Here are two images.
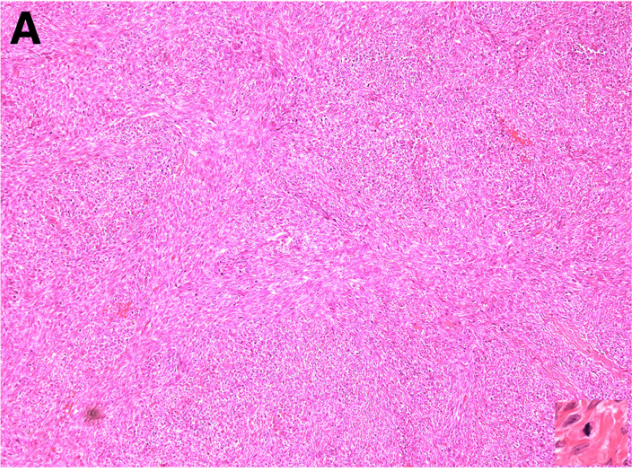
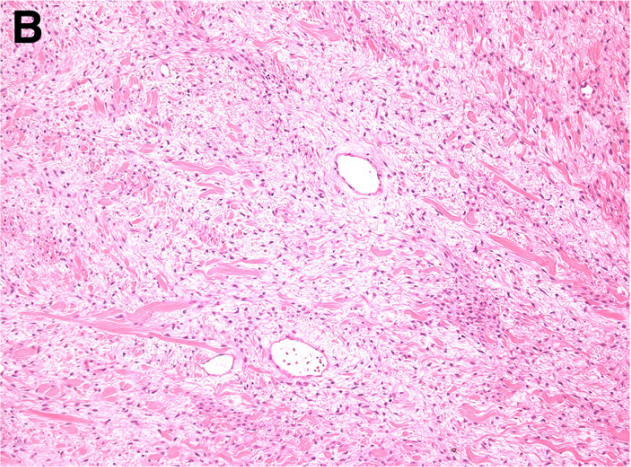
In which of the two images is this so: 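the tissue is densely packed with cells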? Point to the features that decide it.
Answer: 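Second image: sparse cells set in loose pale stroma with collagen bundles. First image: spindle cells crowded together across the whole field.
Answer: the first image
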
